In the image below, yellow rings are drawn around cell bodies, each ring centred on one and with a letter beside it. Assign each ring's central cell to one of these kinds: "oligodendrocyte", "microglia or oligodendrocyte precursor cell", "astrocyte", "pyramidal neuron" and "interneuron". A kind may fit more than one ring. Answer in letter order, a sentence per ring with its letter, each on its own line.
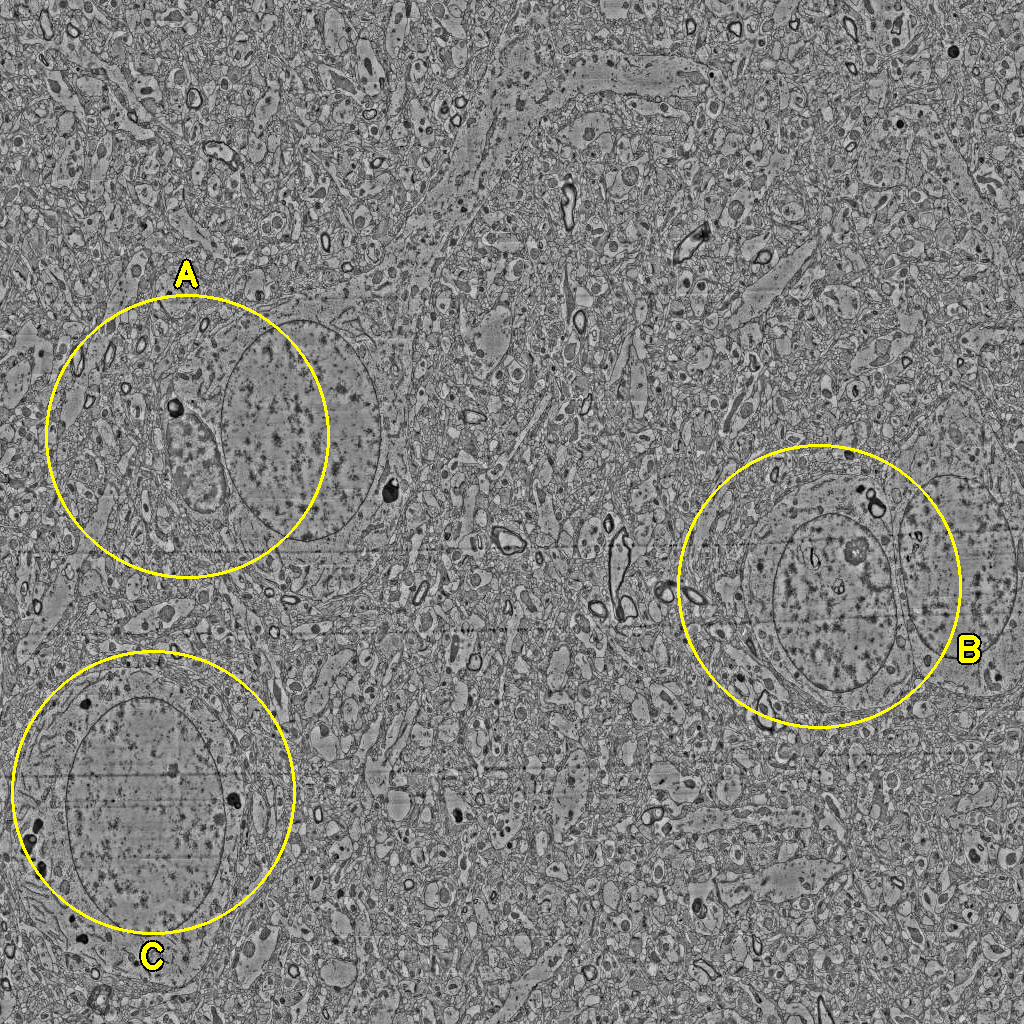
The central cell of ring A is an oligodendrocyte.
The central cell of ring B is a pyramidal neuron.
The central cell of ring C is a pyramidal neuron.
